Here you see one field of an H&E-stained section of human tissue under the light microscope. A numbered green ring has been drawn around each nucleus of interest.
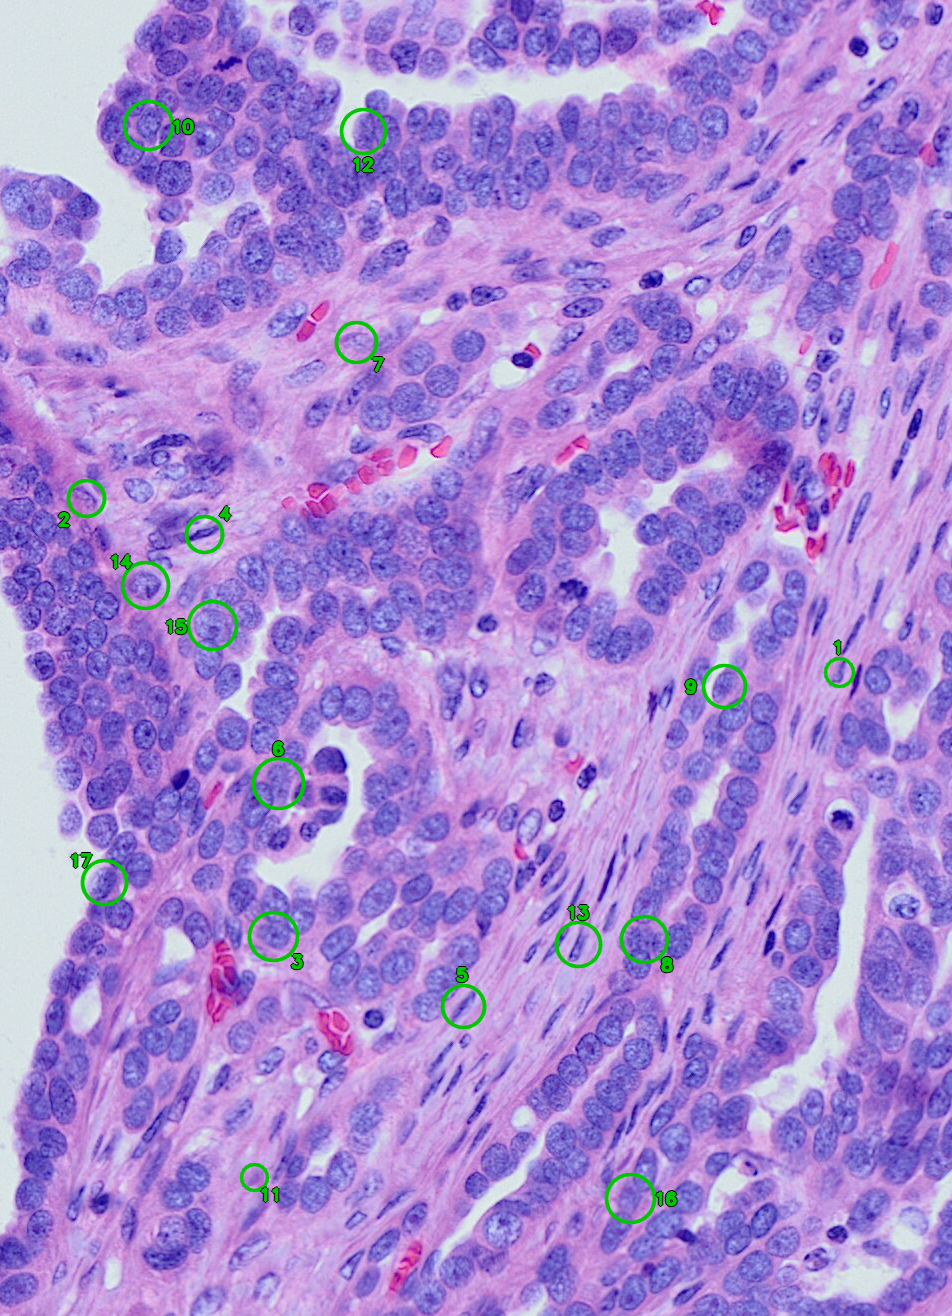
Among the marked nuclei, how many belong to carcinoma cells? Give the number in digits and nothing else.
9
